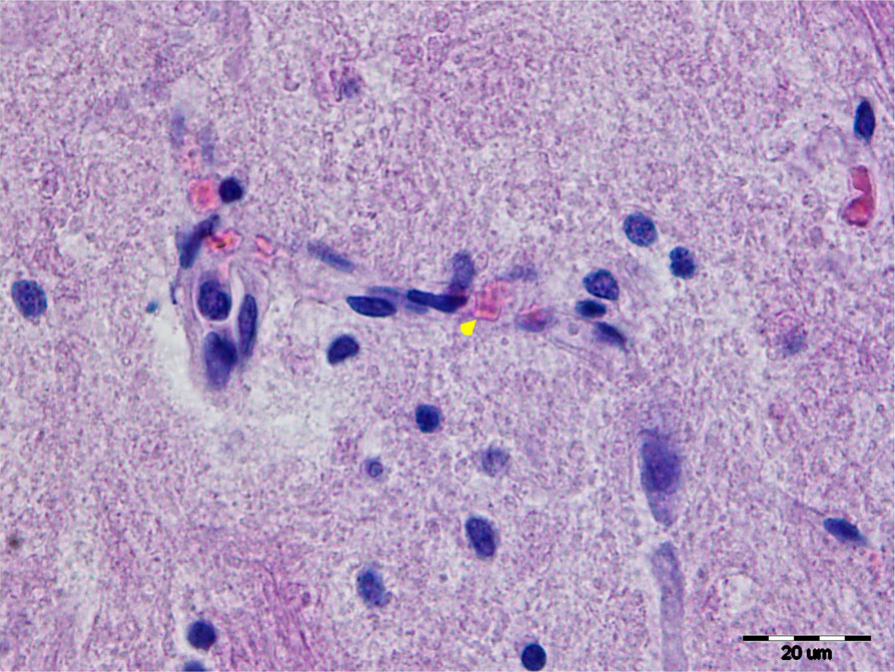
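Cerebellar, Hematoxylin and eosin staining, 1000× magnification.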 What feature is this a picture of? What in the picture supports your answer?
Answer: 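Capillary. A narrow channel runs horizontally across the middle of the field. Elongated, dark, flattened nuclei line the channel.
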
